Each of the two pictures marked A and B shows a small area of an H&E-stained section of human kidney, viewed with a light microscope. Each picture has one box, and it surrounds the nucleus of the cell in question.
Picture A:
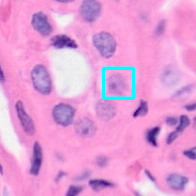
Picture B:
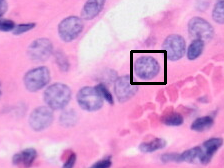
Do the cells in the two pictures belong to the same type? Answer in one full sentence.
No. Picture A shows a “loop of Henle or distal tubule cell”, but picture B shows a collecting duct cell.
